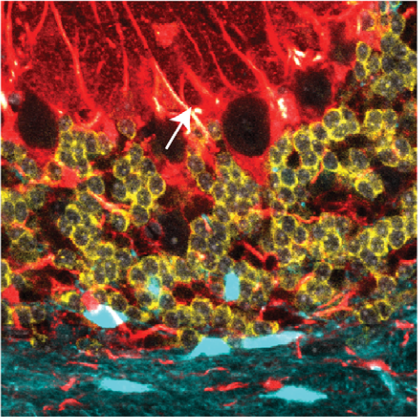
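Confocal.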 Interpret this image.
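This is cerebellar cortex at the border of the molecular and granular layers. Large dark round holes in a row are unlabeled cell bodies at the layer border, and from between them bright red radial fibers of astrocytes climb straight up through the red-filled molecular layer. Below, the granular layer is packed with small round neurons, each a yellow ring around a greyish nucleus, with red astrocyte processes woven among them. At the bottom a band of blue fibrous white matter carries small elongated blue oligodendrocyte cell bodies lined up along the fibers.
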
